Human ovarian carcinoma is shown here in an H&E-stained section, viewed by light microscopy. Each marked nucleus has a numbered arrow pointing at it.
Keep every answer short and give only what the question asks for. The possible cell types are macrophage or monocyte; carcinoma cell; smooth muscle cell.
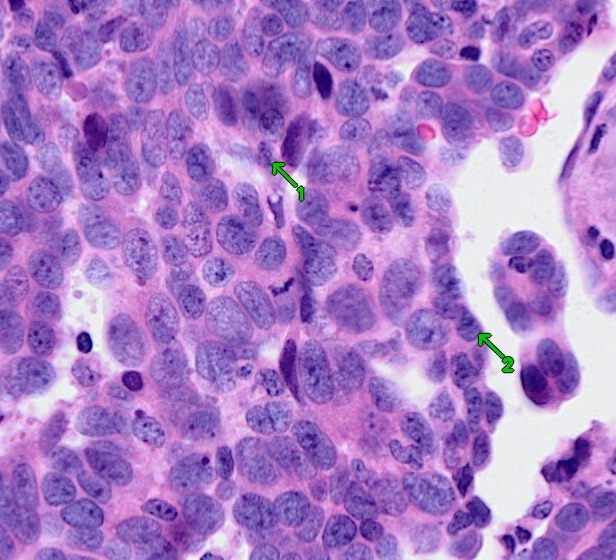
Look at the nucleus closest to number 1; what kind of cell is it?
carcinoma cell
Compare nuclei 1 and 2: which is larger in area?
2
